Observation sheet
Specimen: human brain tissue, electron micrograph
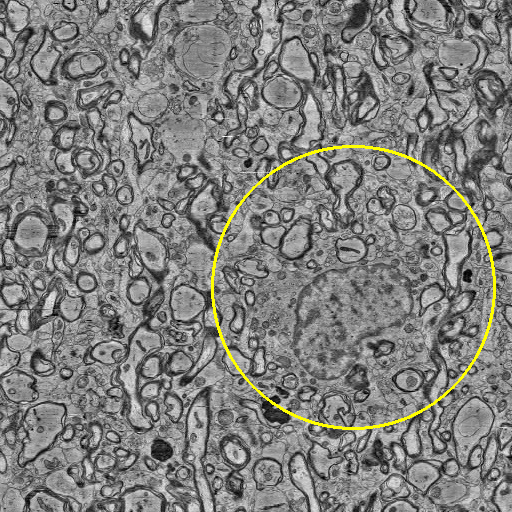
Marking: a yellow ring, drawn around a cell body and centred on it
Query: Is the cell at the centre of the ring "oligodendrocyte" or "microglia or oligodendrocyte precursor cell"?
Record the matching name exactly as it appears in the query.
oligodendrocyte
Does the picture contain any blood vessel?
No, no blood vessel can be seen.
